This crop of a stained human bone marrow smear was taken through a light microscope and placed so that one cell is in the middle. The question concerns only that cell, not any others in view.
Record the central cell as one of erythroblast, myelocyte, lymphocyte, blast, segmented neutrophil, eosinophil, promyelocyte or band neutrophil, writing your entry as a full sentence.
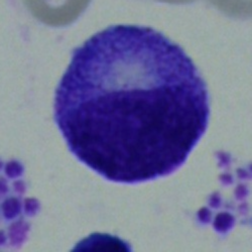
Regarding the central cell, it is a myelocyte.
